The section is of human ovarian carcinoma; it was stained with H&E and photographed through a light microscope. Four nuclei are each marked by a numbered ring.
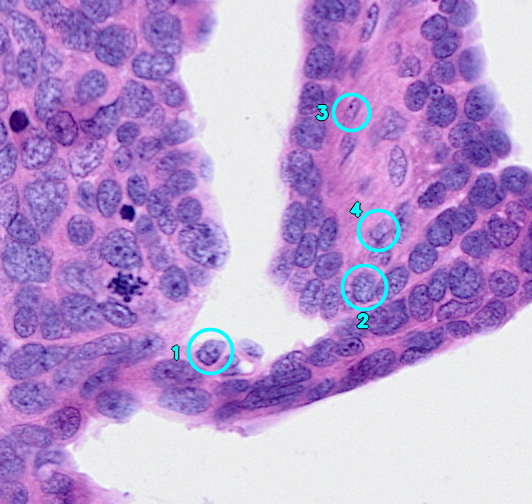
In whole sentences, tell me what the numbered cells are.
Cell 1 is a macrophage or monocyte. Cell 2 is a carcinoma cell. Cells 3 and 4 are fibroblasts.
